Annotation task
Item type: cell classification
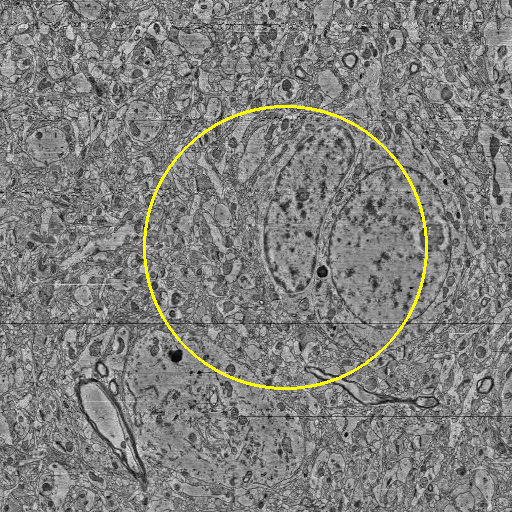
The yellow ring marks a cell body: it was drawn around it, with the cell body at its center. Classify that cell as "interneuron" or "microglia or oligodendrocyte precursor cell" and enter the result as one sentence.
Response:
The ring's center falls on a microglial cell or oligodendrocyte precursor cell.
